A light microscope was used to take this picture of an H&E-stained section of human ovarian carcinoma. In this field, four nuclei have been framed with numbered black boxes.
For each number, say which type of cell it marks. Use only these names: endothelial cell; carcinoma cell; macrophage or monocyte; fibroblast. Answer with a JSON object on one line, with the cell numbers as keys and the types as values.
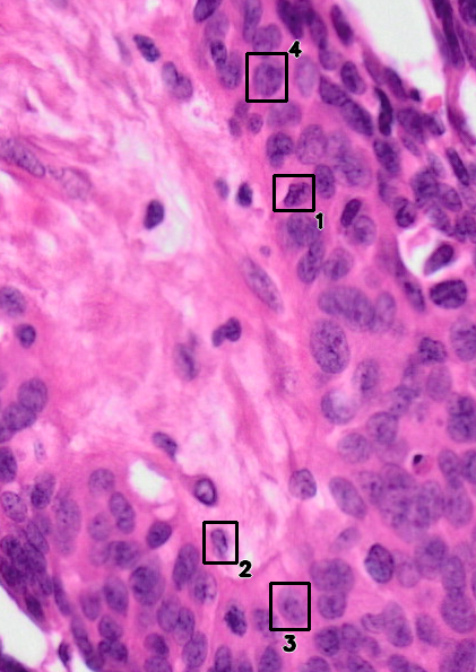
{"1": "carcinoma cell", "2": "macrophage or monocyte", "3": "carcinoma cell", "4": "carcinoma cell"}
